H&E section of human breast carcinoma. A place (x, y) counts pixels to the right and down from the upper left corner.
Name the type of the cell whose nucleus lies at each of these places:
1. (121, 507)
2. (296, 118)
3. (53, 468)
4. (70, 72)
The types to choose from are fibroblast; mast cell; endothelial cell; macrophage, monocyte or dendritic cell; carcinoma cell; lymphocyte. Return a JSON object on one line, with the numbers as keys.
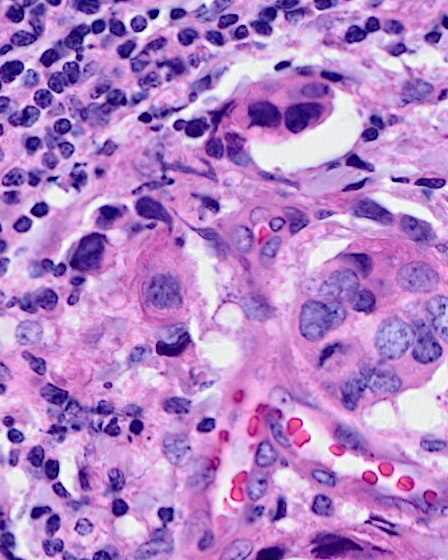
{"1": "lymphocyte", "2": "carcinoma cell", "3": "lymphocyte", "4": "lymphocyte"}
